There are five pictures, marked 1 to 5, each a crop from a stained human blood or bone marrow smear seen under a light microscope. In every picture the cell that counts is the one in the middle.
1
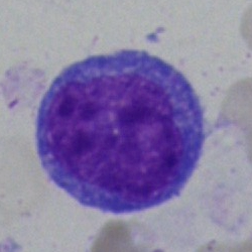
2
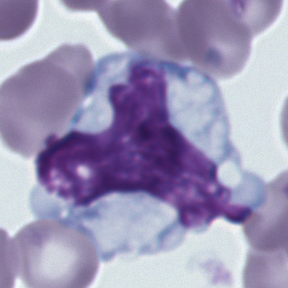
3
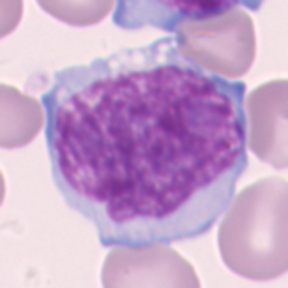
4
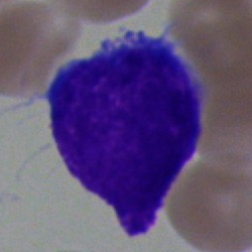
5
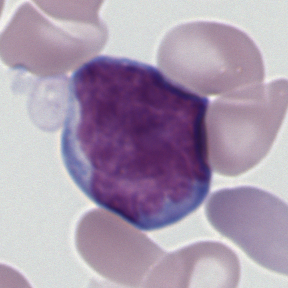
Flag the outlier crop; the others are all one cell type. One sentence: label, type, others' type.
In contrast to the other crops, all of which show blasts, crop 2 shows a monocyte.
